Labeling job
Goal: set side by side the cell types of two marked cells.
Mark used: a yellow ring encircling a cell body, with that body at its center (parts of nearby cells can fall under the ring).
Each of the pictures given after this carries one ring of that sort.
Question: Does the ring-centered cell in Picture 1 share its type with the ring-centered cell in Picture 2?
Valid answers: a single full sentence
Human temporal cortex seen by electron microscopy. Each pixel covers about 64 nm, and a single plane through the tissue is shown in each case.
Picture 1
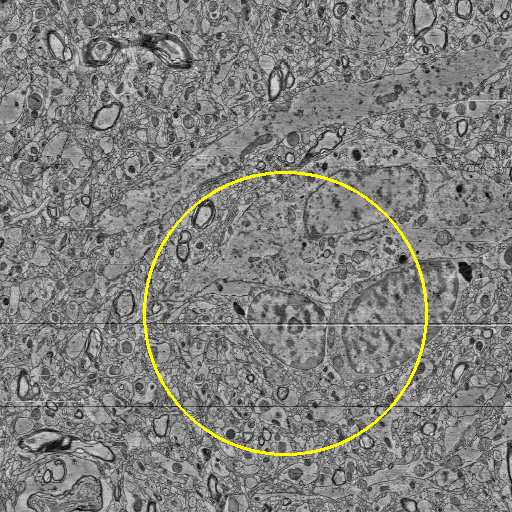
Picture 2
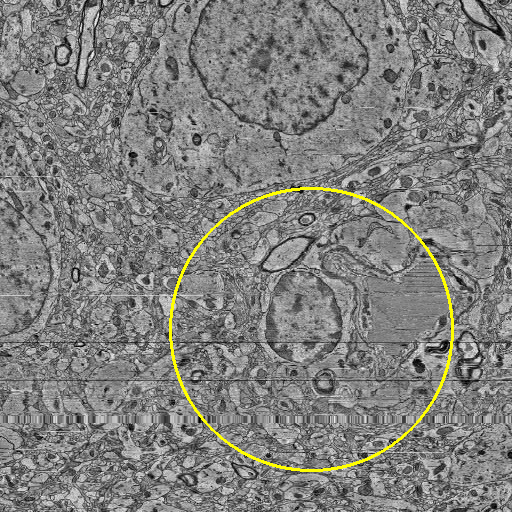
Yes, in Pictures 1 and 2 the cells at the ring centers share one type.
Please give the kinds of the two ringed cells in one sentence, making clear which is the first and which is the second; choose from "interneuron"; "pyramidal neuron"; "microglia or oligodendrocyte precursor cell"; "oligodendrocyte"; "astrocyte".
Both the first and the second picture show a microglial cell or oligodendrocyte precursor cell in the ring.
